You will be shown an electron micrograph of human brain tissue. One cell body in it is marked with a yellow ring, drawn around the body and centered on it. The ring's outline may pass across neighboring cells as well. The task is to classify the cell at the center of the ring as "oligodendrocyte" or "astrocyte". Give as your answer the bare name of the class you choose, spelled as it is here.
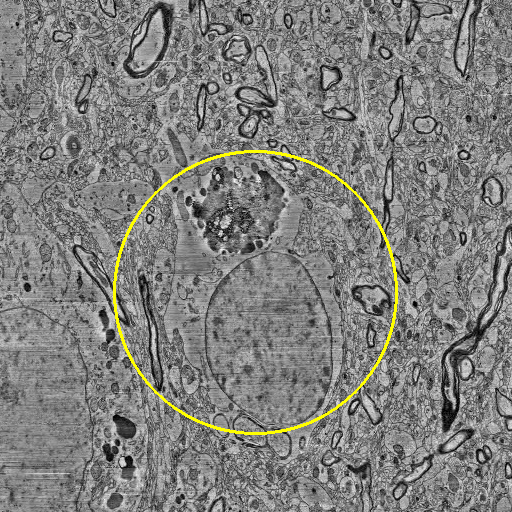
astrocyte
